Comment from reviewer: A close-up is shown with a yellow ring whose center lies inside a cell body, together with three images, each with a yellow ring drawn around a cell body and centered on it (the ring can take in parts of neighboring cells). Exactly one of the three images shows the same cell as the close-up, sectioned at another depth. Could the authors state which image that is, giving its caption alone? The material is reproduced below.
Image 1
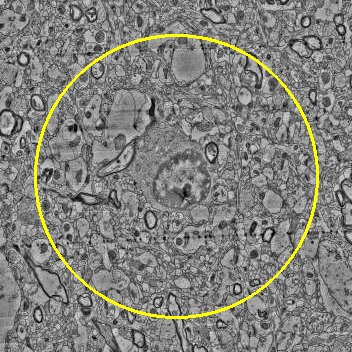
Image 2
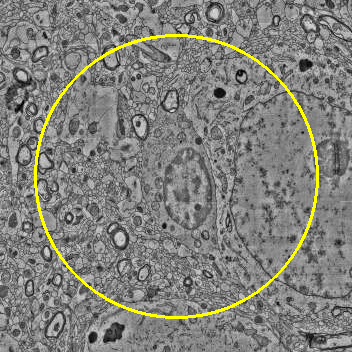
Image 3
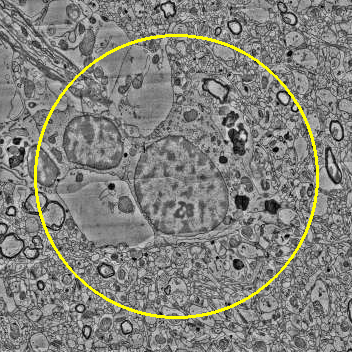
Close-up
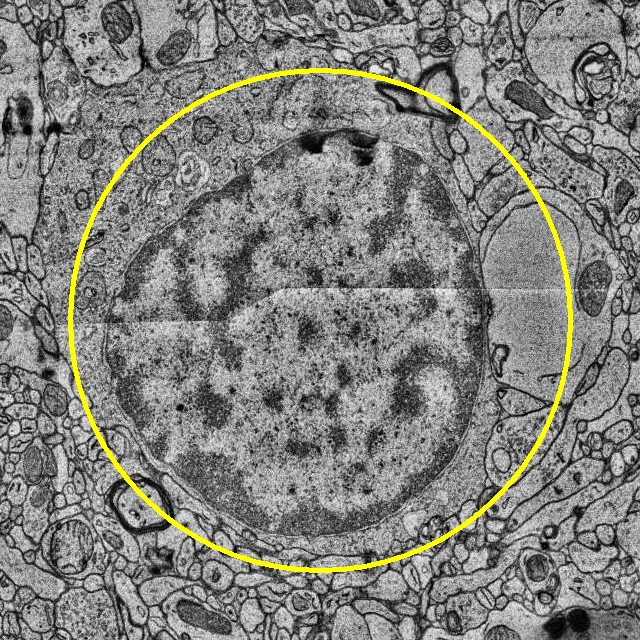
Image 1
